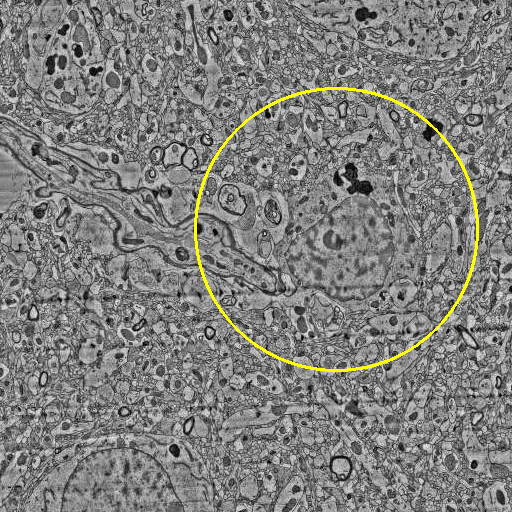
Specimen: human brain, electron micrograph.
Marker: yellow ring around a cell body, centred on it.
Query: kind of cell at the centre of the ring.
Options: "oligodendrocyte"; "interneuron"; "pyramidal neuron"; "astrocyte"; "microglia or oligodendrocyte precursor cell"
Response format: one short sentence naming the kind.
This cell body belongs to an oligodendrocyte.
